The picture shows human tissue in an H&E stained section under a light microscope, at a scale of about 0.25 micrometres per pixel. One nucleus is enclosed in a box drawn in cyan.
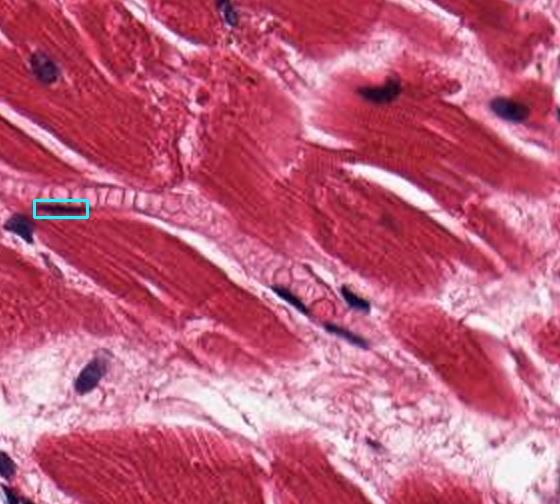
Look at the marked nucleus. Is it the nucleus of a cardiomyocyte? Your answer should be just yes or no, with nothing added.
no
